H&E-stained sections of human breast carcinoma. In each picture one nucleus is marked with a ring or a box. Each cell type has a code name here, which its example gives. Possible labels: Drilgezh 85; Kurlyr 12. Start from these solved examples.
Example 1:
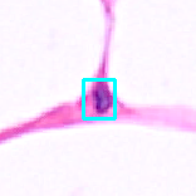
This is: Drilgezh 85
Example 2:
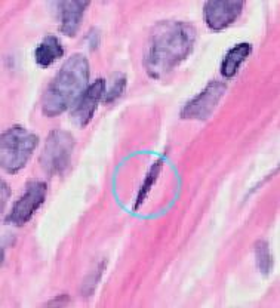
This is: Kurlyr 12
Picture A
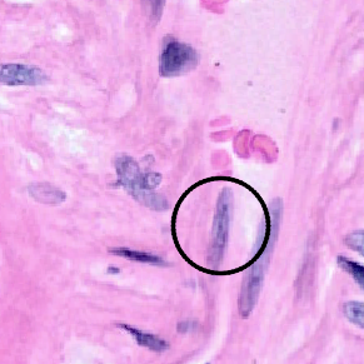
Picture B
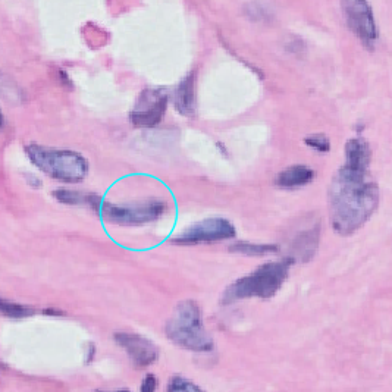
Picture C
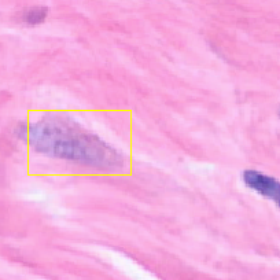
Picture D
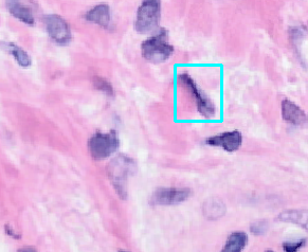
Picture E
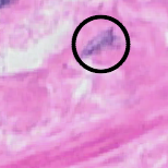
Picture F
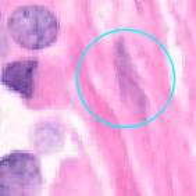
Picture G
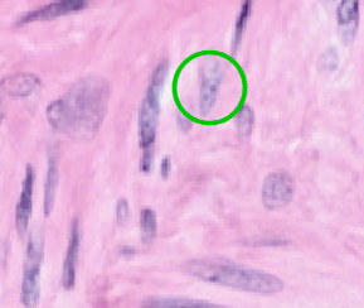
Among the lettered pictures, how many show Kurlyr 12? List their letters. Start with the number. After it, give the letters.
4: C, D, E, F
